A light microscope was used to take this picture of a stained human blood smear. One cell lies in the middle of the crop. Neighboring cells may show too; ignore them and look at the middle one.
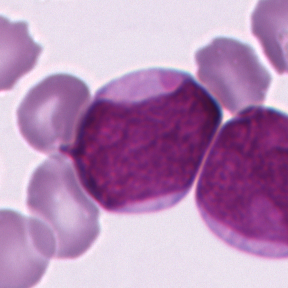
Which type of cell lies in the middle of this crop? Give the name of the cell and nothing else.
myeloblast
